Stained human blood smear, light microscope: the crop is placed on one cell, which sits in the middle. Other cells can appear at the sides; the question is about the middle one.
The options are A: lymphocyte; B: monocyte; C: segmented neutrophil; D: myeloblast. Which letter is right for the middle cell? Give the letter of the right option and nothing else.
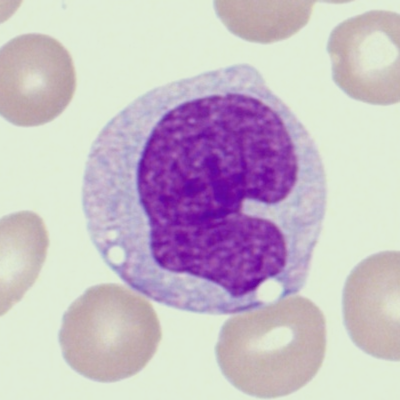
B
